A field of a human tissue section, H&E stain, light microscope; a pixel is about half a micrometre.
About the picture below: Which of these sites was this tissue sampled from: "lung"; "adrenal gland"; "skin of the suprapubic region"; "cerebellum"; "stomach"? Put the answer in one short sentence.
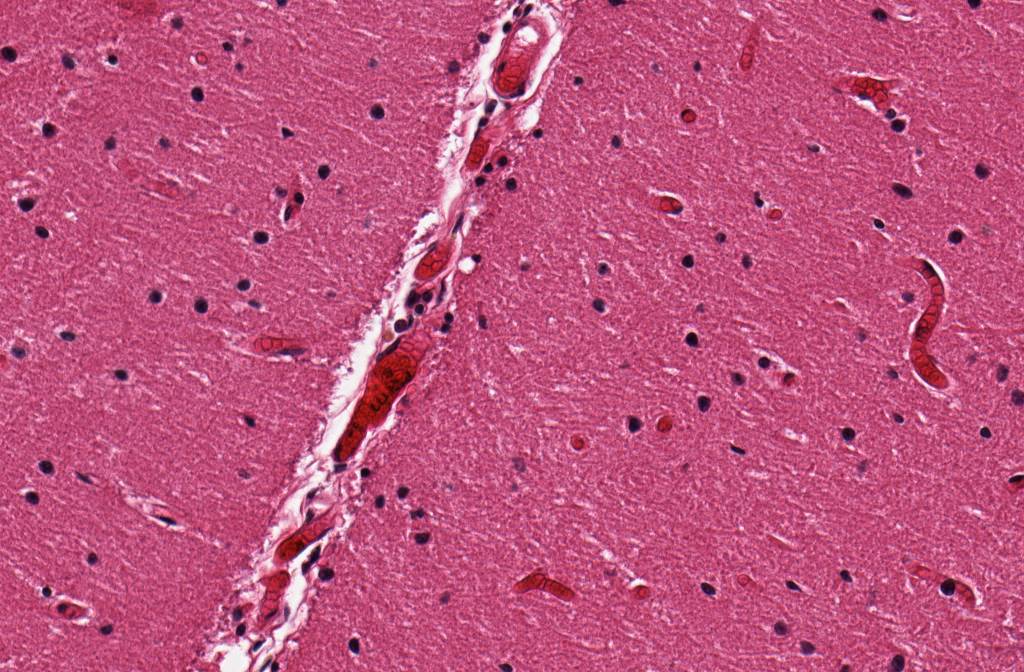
The site this tissue was sampled from is the cerebellum.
